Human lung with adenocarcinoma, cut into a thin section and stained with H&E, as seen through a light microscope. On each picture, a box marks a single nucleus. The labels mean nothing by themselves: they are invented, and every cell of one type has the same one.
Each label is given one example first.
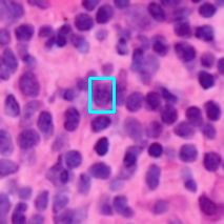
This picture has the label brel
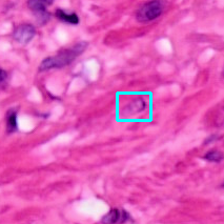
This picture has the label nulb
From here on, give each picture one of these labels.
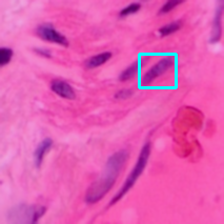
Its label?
nulb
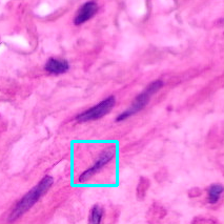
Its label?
nulb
